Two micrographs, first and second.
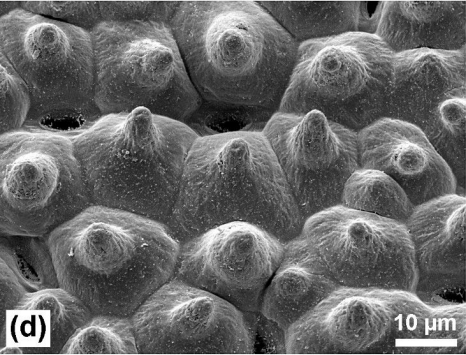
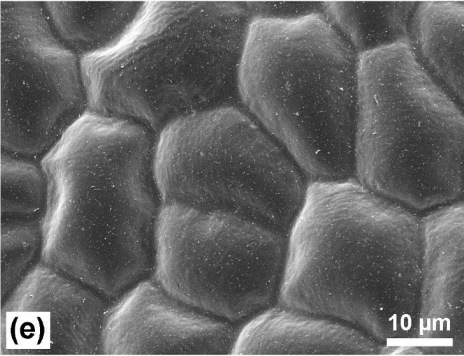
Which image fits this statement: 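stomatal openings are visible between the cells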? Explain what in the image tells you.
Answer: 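The first image. Second image: domed polygonal cells meet without any dark pore openings. First image: several dark elongated openings lie between the papillate cells.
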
